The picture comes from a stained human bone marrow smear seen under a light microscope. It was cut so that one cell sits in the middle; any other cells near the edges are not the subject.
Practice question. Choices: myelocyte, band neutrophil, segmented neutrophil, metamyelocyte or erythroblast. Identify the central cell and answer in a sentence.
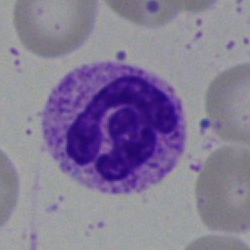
Classified as a segmented neutrophil is the cell in the middle of this crop.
